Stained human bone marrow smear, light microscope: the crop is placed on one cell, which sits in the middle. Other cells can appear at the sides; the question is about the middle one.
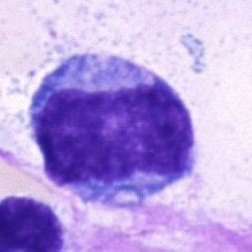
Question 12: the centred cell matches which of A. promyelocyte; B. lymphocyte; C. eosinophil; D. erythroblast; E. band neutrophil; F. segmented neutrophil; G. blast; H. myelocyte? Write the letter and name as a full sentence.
The correct choice is option G, which identifies the middle cell as a blast.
